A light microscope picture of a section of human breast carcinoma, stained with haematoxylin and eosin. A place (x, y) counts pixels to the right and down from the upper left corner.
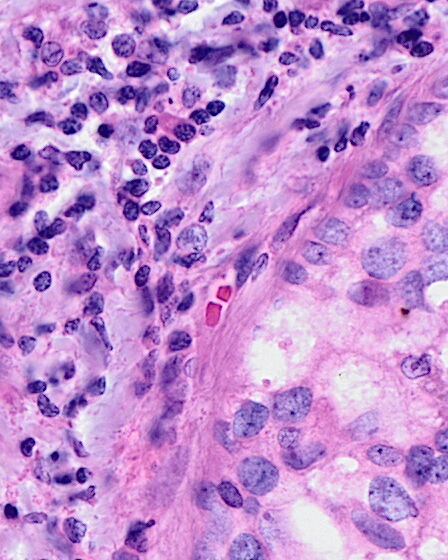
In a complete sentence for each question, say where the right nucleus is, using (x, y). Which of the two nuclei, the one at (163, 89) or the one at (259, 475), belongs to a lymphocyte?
The nucleus at (163, 89) is housed in a lymphocyte.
